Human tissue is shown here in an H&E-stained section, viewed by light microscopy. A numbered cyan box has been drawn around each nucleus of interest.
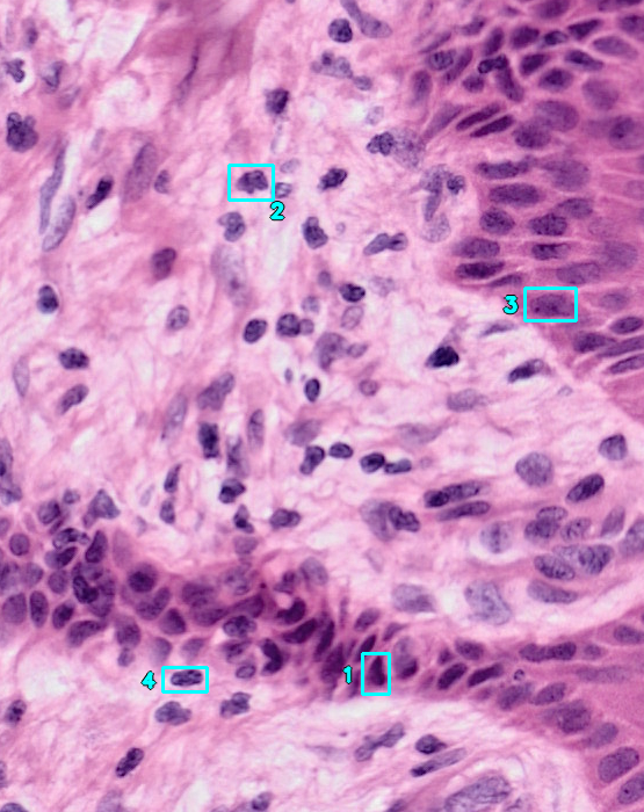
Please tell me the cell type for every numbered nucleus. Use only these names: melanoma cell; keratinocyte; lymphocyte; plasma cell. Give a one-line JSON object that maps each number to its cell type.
{"1": "keratinocyte", "2": "lymphocyte", "3": "keratinocyte", "4": "lymphocyte"}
